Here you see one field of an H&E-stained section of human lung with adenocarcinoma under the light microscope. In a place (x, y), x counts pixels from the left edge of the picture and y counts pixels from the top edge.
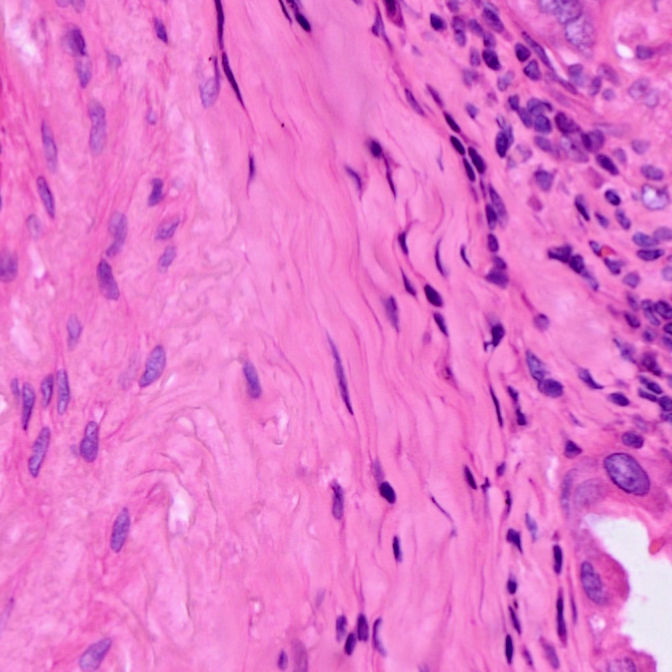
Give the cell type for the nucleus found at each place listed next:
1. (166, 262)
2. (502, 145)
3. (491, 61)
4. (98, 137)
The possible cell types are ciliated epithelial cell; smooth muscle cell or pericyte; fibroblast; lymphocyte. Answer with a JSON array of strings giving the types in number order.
["smooth muscle cell or pericyte", "lymphocyte", "lymphocyte", "smooth muscle cell or pericyte"]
